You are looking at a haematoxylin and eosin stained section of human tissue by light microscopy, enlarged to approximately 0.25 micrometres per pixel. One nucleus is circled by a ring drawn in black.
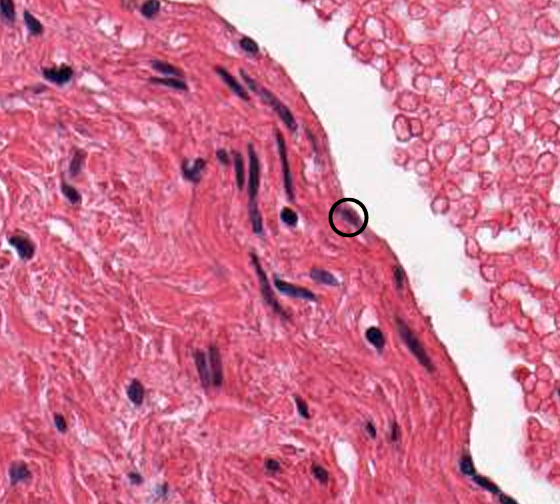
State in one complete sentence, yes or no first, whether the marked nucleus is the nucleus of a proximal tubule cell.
No, the marked nucleus is not that of a proximal tubule cell but that of a supporting cell.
